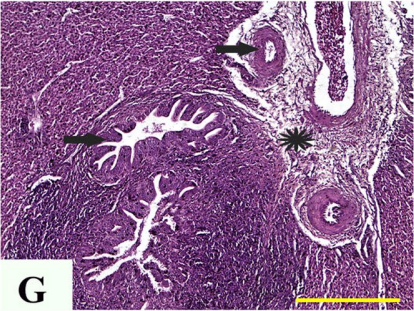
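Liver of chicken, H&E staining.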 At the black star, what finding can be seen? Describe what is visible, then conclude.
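A broad zone of pale fibrous connective tissue surrounds the vessels and ducts. The fibrous zone is much wider than the vessel walls it encloses.
Pronounced thickening of the periportal fibrous tissues.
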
